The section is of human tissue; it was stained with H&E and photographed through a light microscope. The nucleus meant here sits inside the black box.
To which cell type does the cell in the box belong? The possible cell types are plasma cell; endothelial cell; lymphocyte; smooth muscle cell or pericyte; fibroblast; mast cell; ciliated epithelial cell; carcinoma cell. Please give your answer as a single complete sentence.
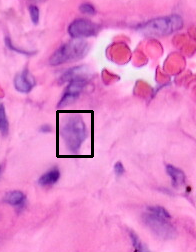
Cell type answer for this item: the cell in the box is a fibroblast.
